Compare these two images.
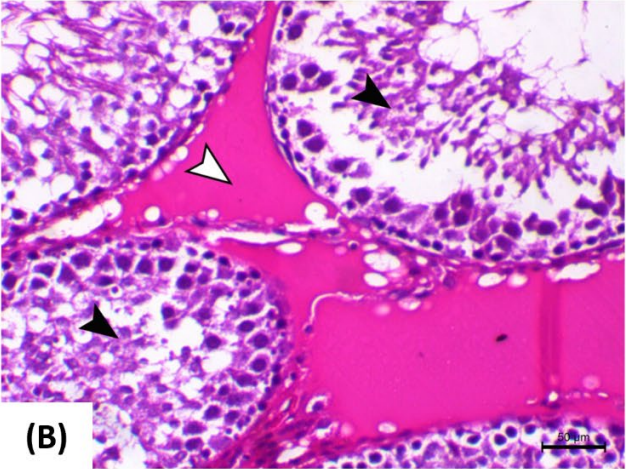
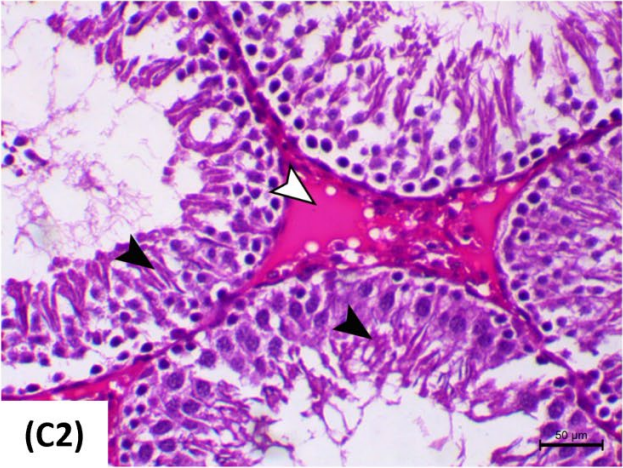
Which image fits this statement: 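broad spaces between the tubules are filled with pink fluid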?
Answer: the first image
